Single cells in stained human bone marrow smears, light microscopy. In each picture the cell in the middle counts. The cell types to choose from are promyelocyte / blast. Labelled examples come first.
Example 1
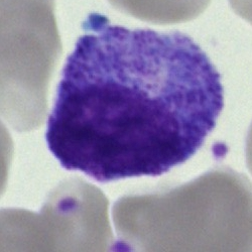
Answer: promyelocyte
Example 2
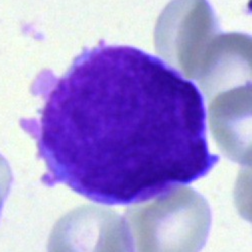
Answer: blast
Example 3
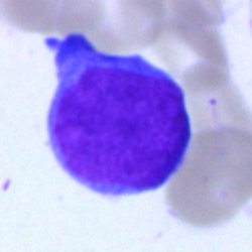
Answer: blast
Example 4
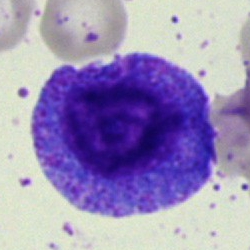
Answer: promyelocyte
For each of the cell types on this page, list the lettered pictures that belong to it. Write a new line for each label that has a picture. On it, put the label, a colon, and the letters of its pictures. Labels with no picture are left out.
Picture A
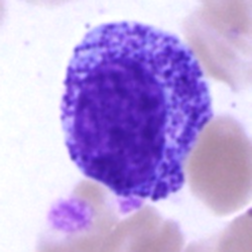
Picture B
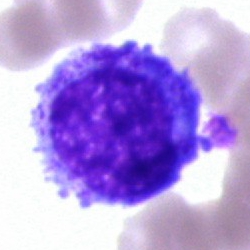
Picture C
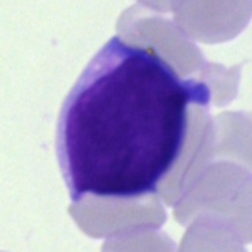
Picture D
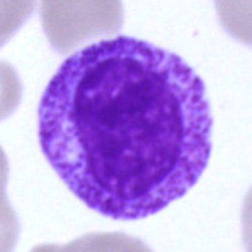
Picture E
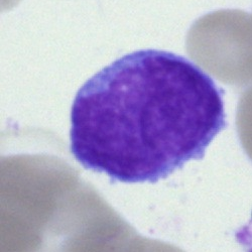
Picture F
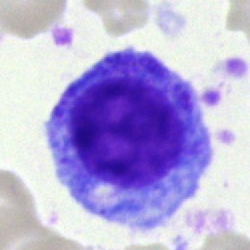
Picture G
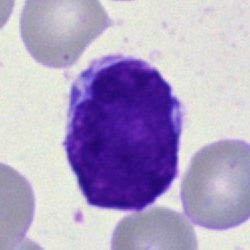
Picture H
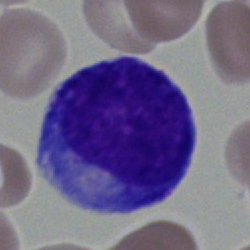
promyelocyte: A, B, D, F, H
blast: C, E, G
